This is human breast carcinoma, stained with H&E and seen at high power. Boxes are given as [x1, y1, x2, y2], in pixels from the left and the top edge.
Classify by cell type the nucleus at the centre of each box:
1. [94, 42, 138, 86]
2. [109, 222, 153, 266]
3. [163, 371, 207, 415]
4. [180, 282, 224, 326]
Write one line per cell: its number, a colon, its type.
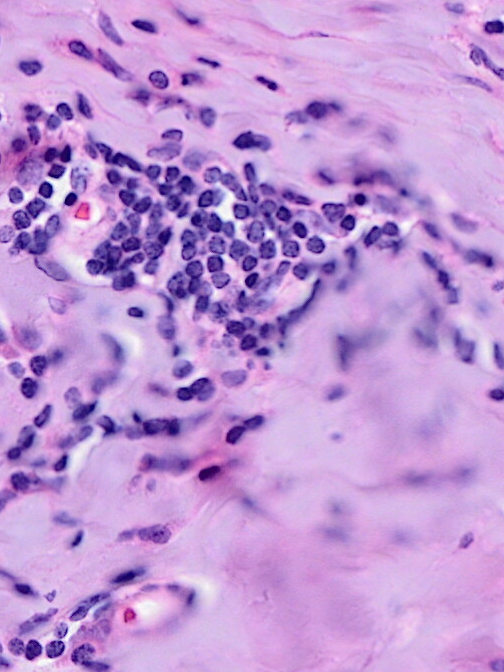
1: fibroblast
2: lymphocyte
3: lymphocyte
4: lymphocyte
